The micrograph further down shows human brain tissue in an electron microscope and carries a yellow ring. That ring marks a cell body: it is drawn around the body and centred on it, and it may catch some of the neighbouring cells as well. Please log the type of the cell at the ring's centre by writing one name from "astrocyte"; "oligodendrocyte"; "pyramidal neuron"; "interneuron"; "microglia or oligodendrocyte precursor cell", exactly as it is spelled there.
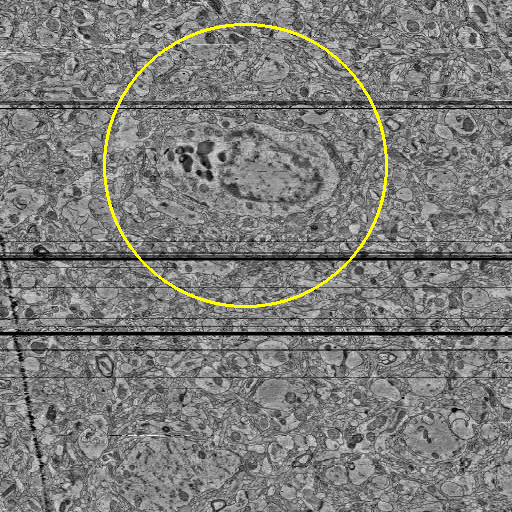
interneuron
